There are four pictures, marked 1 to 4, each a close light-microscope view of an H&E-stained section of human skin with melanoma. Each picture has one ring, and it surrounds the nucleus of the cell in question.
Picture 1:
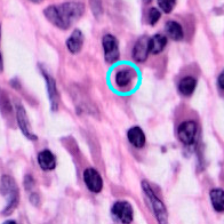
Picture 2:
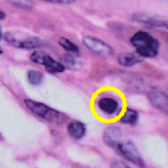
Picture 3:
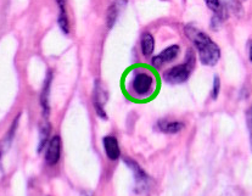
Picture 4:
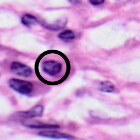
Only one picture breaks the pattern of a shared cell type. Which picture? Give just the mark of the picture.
2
